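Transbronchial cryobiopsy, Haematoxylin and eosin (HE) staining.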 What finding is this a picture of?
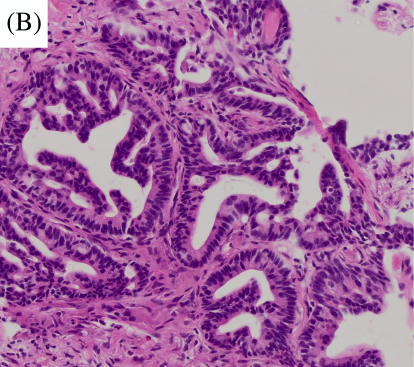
adenocarcinoma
